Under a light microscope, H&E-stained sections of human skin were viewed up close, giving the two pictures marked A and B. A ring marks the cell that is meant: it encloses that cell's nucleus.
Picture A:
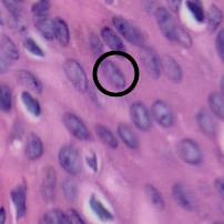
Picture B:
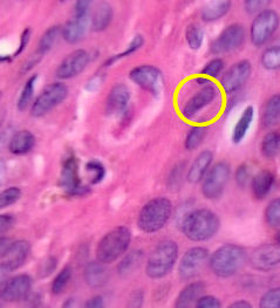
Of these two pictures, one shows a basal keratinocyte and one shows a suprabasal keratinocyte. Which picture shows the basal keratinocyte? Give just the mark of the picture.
B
